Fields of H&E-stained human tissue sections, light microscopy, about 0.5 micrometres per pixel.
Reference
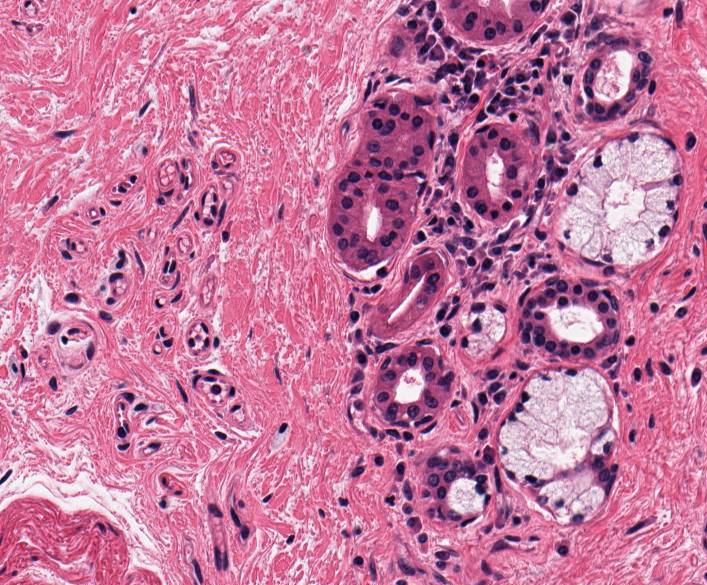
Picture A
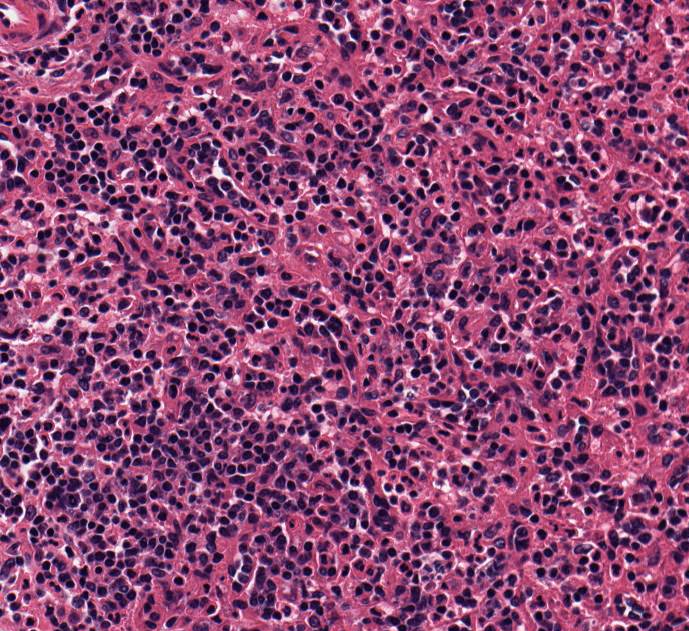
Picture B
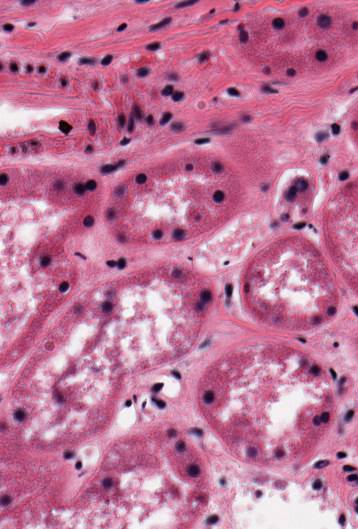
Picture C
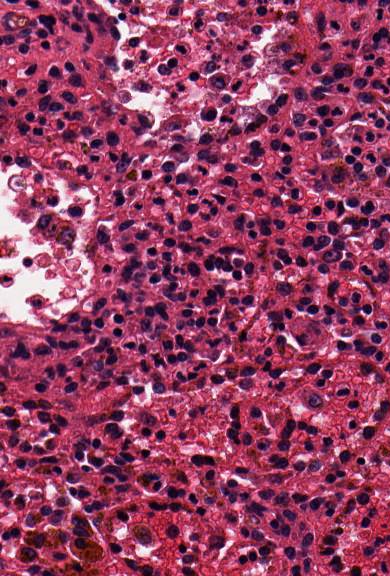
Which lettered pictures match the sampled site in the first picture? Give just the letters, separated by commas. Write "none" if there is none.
none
